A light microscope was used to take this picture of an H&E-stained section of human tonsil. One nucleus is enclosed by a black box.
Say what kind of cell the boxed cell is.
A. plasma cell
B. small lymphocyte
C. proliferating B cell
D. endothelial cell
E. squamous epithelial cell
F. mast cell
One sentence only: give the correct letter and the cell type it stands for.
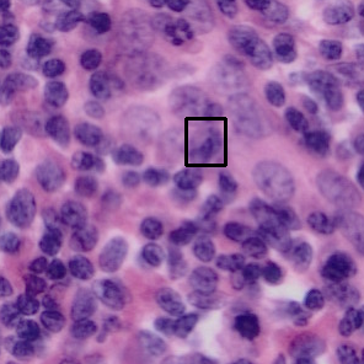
The correct option is D, as the boxed cell is an endothelial cell.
